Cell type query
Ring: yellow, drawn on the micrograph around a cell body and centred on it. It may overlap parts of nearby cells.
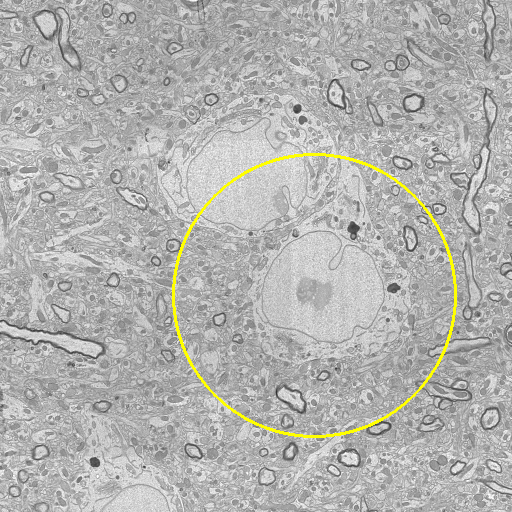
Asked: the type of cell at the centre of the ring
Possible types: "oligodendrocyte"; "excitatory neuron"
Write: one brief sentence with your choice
The ring marks an excitatory neuron.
